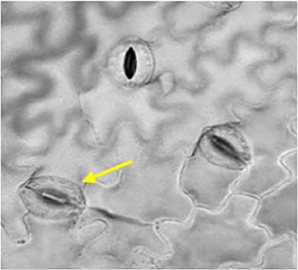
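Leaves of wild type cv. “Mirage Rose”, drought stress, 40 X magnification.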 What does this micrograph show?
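This is a surface view of leaf epidermis with stomata set among pavement cells. Several stomata lie scattered between them, each made of two kidney-shaped guard cells facing one another around a central pore. The pores appear as elongated elliptical openings, darker in the middle; in some the gap between the guard cells is clearly wide. Around the guard cells a thin rim of outline is visible, and the stomata are spaced apart rather than clustered.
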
